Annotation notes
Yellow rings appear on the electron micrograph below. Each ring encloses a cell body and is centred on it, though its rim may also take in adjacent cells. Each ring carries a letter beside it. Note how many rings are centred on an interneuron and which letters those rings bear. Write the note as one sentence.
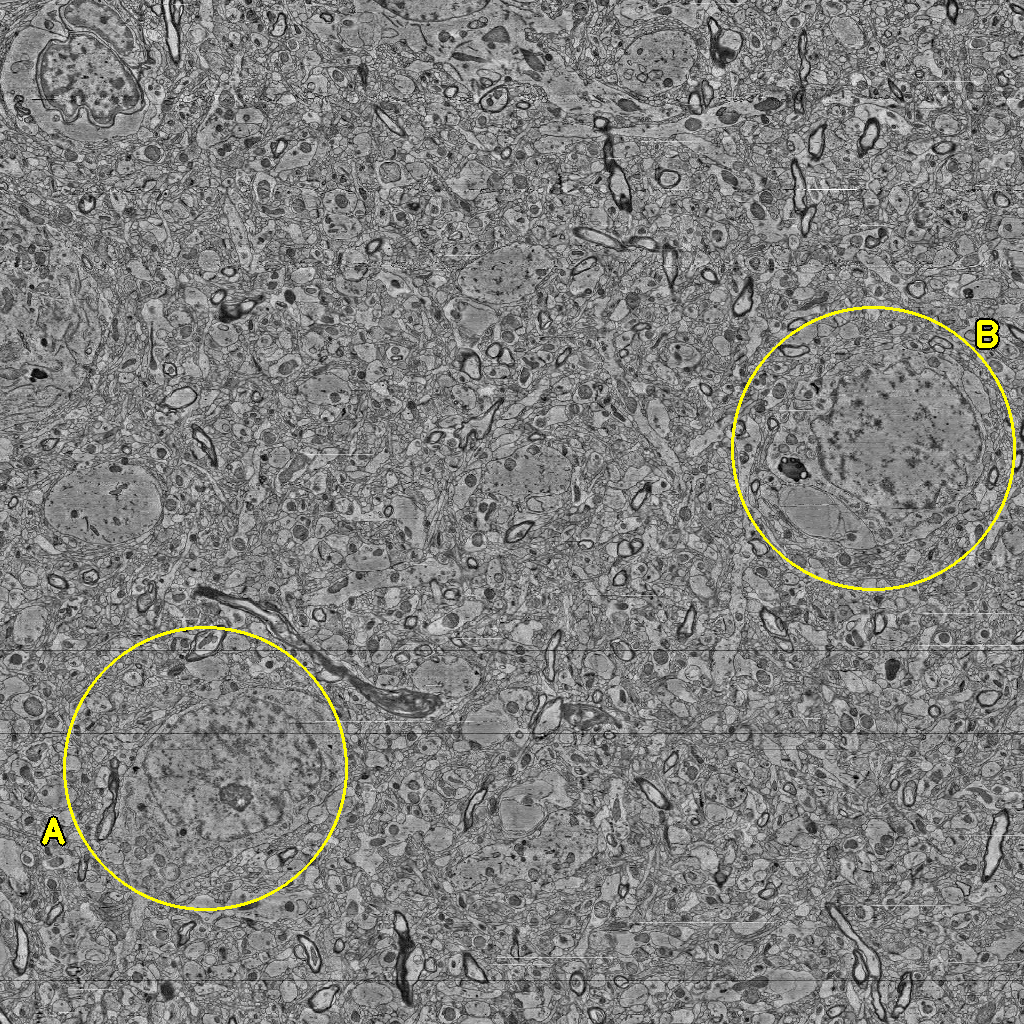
Here two rings, namely those with the letters A and B, are centred on an interneuron apiece.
